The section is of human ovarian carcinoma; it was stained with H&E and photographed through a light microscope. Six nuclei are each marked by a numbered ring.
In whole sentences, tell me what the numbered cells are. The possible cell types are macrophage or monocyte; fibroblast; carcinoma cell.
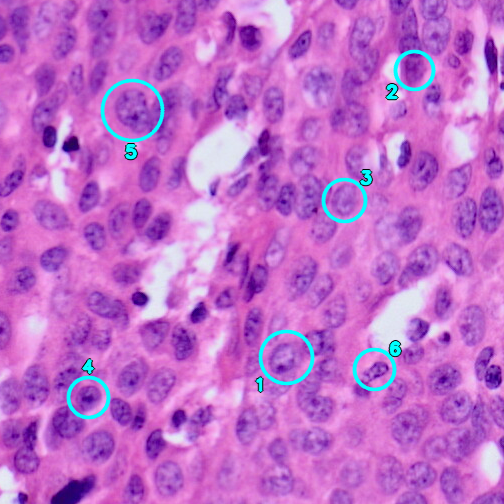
Cells 1, 2, 3 and 5 are carcinoma cells. Cells 4 and 6 are macrophages or monocytes.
